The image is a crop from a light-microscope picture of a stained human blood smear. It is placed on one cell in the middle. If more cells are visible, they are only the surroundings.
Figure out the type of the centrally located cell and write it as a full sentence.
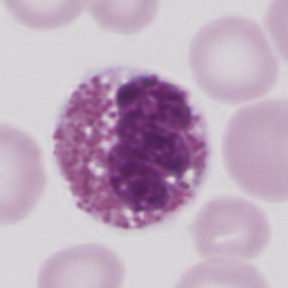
Seen at the centre of the crop is an eosinophil.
